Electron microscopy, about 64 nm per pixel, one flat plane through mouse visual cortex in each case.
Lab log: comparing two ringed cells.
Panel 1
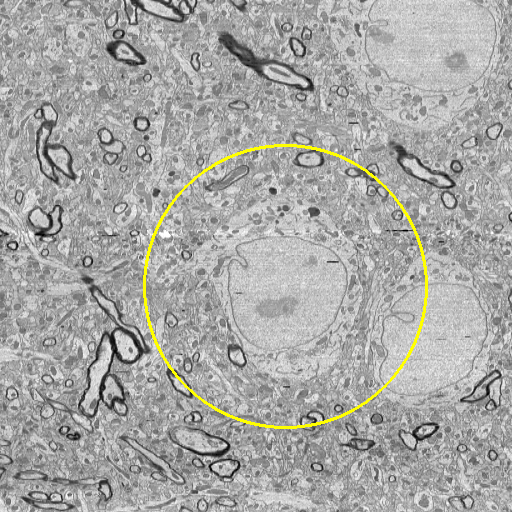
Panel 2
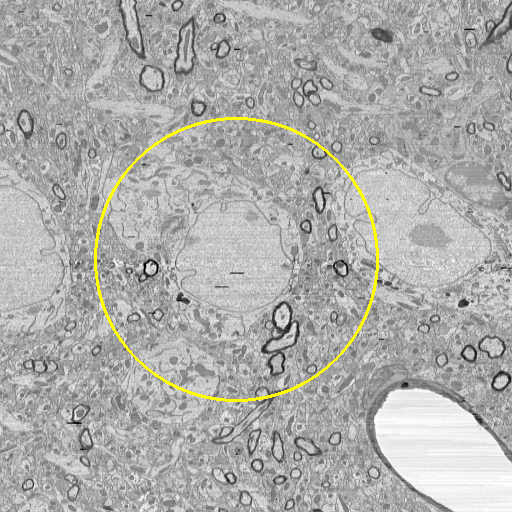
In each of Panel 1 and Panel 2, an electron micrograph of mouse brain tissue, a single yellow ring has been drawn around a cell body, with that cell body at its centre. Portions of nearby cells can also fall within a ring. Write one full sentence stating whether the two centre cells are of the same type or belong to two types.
The cells at the ring centres in Panel 1 and Panel 2 are of the same type.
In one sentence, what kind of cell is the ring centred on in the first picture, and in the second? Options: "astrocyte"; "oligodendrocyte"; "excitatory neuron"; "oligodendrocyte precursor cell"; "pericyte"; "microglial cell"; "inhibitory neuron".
Both the first and the second picture show an excitatory neuron in the ring.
